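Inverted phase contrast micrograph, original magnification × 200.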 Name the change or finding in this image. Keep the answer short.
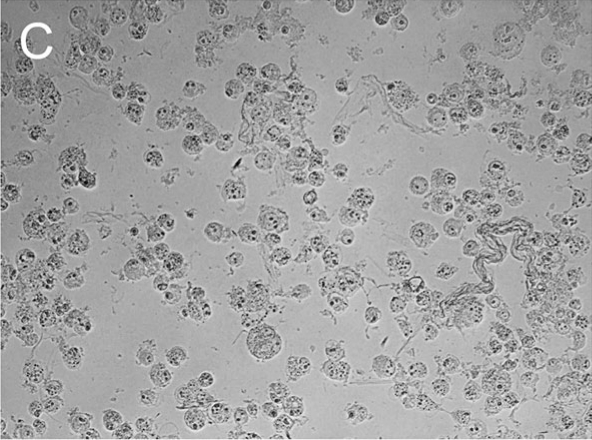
Detached.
